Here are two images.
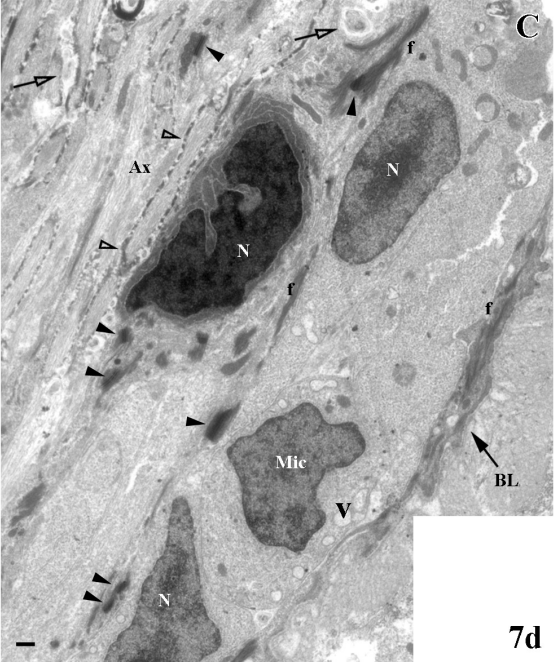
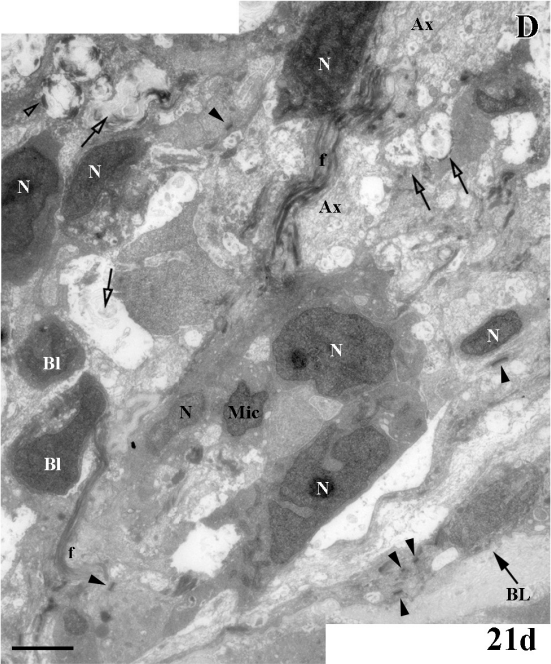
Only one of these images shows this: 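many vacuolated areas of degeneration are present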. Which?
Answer: the second image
